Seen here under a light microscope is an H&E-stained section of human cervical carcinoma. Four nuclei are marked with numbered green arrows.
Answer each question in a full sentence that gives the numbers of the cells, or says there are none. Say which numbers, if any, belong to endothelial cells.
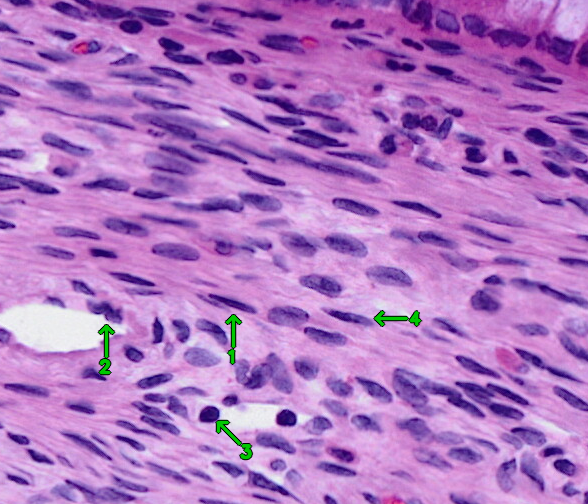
The only cell among those numbered to be an endothelial cell is number 2.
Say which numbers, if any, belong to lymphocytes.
Only the nucleus marked 3 is that of a lymphocyte.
